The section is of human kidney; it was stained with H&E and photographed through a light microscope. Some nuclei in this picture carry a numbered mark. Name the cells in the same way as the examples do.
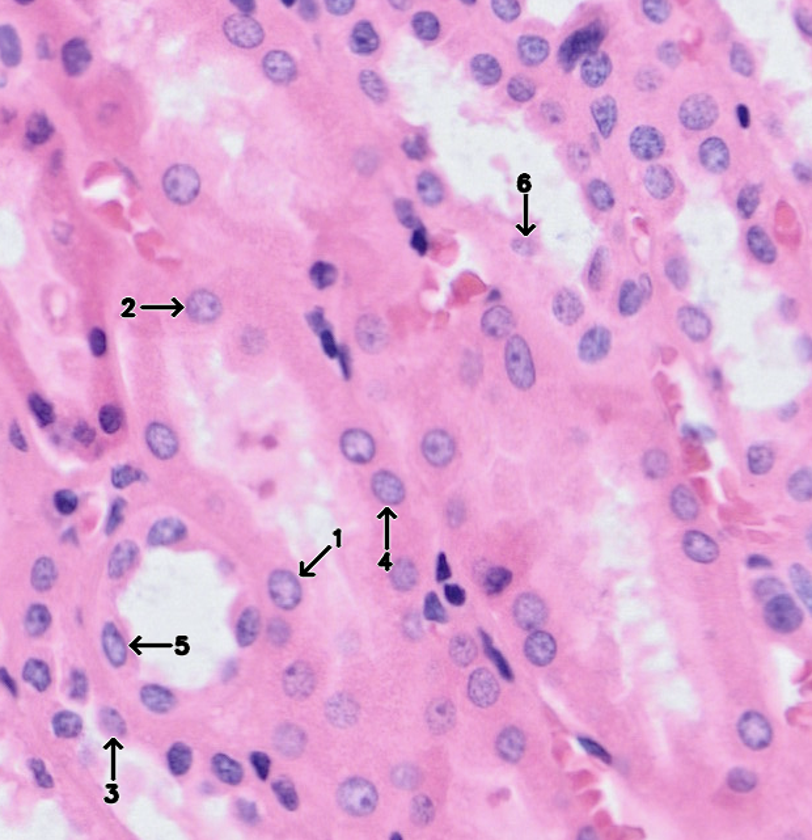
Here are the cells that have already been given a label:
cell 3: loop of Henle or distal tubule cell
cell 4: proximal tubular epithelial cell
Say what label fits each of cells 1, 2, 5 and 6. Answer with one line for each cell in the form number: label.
1: proximal tubular epithelial cell
2: proximal tubular epithelial cell
5: loop of Henle or distal tubule cell
6: loop of Henle or distal tubule cell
